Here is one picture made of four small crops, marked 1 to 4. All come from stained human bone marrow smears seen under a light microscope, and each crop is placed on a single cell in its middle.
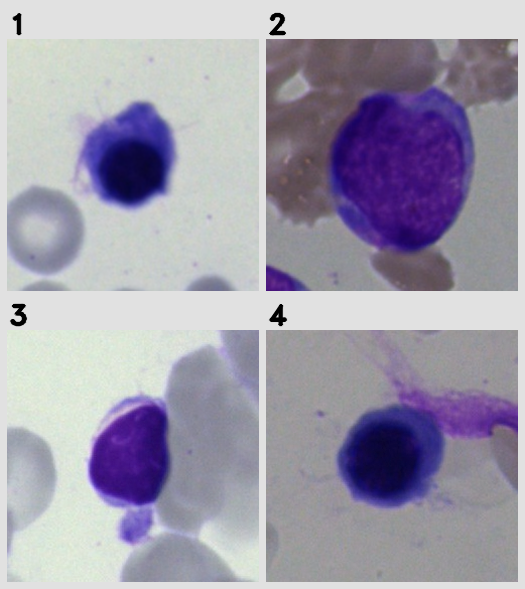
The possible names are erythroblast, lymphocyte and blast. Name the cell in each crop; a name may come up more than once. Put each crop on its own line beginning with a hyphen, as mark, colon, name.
- 1: erythroblast
- 2: blast
- 3: lymphocyte
- 4: erythroblast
